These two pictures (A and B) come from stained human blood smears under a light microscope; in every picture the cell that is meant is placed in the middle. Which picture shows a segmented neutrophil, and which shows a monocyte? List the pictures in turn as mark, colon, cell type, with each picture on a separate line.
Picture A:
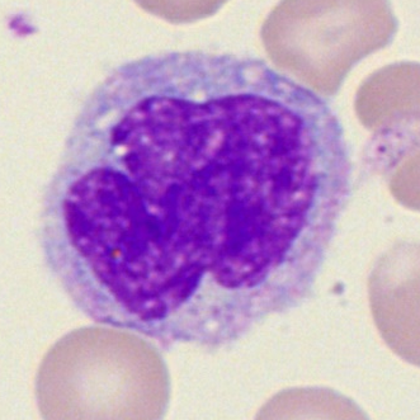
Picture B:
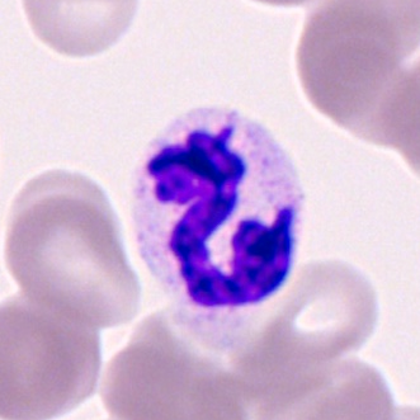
A: monocyte
B: segmented neutrophil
